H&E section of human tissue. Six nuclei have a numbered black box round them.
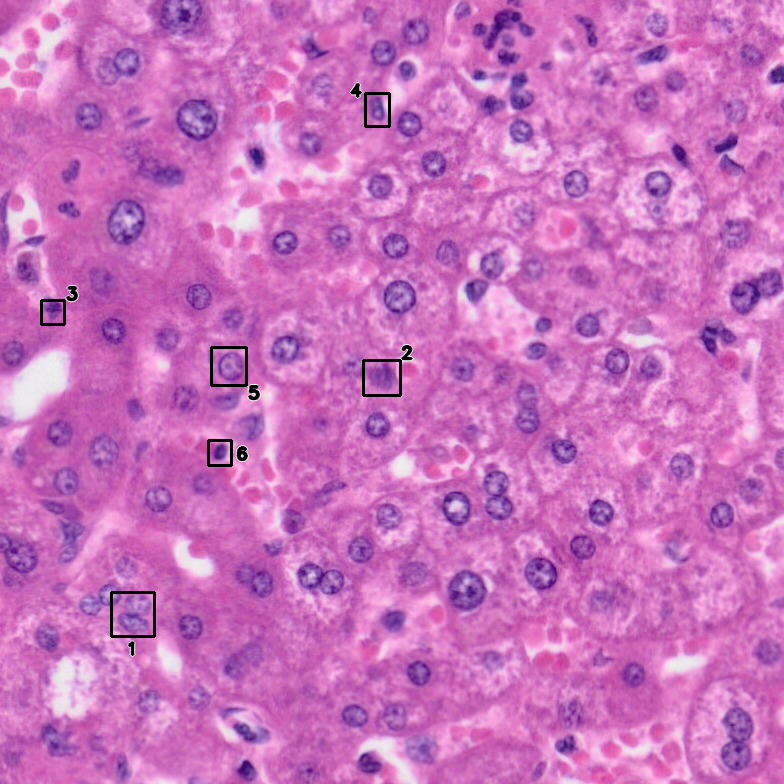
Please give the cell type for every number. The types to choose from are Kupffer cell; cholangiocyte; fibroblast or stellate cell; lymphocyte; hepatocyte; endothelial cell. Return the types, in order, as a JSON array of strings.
["cholangiocyte", "endothelial cell", "fibroblast or stellate cell", "fibroblast or stellate cell", "hepatocyte", "lymphocyte"]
